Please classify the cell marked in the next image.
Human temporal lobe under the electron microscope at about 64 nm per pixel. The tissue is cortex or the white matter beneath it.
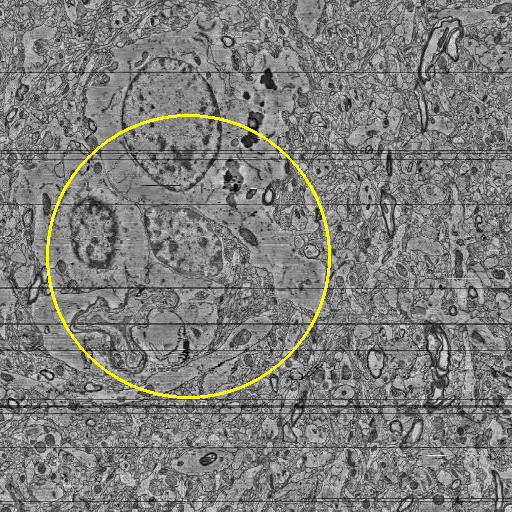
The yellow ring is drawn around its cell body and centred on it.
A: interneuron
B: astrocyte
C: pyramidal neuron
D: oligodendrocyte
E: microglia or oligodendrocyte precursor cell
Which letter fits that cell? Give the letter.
E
